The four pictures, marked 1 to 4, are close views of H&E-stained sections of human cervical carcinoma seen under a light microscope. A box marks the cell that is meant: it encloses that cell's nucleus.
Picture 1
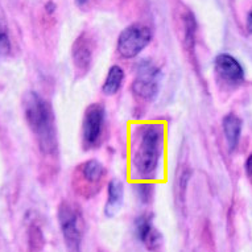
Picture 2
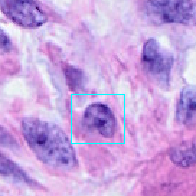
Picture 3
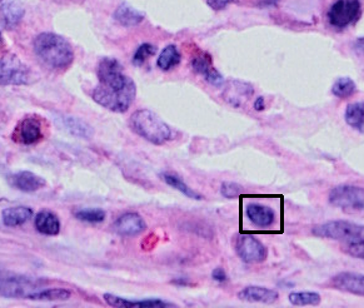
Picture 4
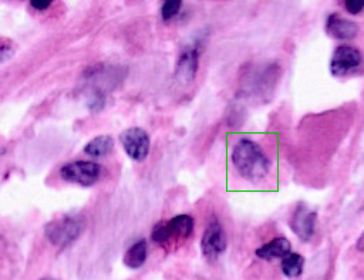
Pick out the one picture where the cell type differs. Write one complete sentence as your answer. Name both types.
The others show “macrophages or monocytes”, but picture 3 shows a lymphocyte.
